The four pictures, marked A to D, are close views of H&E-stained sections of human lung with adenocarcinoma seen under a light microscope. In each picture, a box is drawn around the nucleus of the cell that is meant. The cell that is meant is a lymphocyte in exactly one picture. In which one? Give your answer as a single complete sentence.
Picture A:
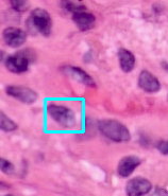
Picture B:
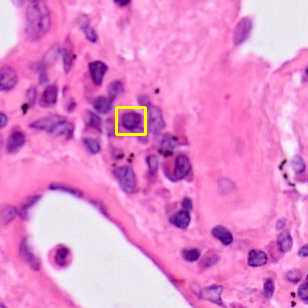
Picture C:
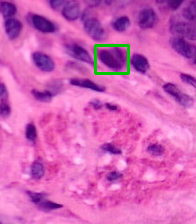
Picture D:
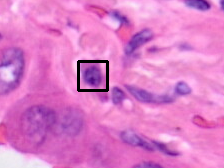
Picture A is the one that shows the lymphocyte.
